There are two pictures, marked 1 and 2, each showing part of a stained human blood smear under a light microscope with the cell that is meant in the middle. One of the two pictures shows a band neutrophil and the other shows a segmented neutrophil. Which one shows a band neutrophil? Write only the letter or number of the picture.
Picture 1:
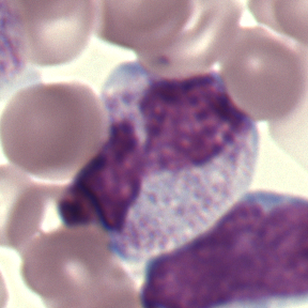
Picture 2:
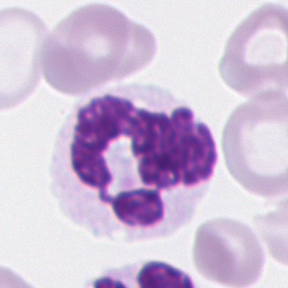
1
